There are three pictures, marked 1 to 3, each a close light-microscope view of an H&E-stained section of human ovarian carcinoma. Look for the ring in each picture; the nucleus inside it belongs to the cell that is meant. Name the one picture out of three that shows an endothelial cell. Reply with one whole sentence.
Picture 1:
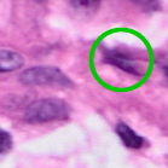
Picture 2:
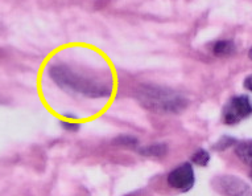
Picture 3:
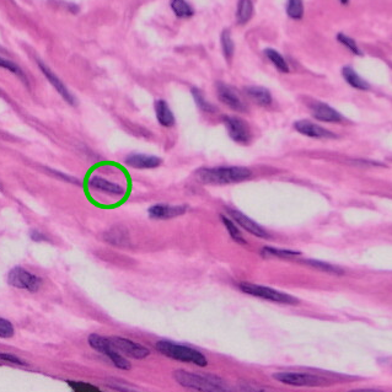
The endothelial cell is the one in picture 1.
